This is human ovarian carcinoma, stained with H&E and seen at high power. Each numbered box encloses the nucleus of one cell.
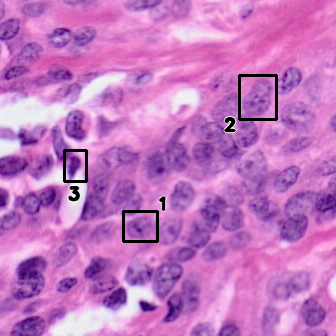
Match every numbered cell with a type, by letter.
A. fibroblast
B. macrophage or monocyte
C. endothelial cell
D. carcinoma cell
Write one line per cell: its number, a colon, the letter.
1: B
2: D
3: D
